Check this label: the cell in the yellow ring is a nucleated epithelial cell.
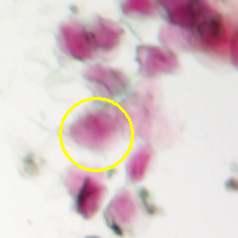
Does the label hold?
The label holds; the cell is a nucleated epithelial cell.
